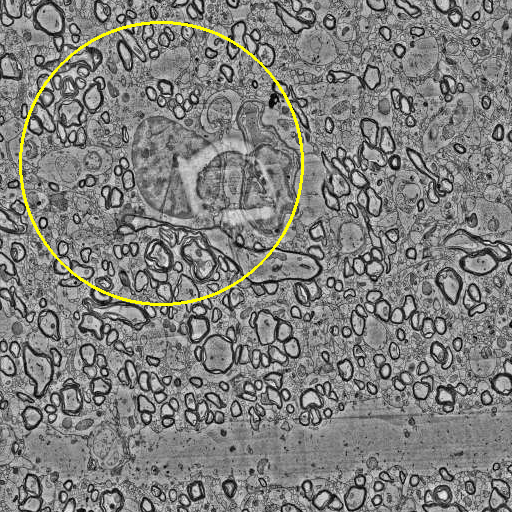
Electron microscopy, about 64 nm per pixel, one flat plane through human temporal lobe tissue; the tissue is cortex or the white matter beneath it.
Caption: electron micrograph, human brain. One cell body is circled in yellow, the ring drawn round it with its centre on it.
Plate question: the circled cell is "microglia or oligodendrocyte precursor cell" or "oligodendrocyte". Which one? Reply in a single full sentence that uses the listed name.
The yellow ring on the plate is centred on an oligodendrocyte, going by the listed names.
